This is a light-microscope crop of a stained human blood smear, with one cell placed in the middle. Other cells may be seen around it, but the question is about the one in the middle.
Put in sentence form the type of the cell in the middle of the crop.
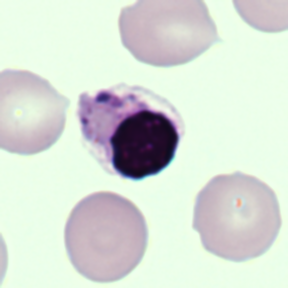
The cell under consideration, at the middle of the crop, is an erythroblast.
